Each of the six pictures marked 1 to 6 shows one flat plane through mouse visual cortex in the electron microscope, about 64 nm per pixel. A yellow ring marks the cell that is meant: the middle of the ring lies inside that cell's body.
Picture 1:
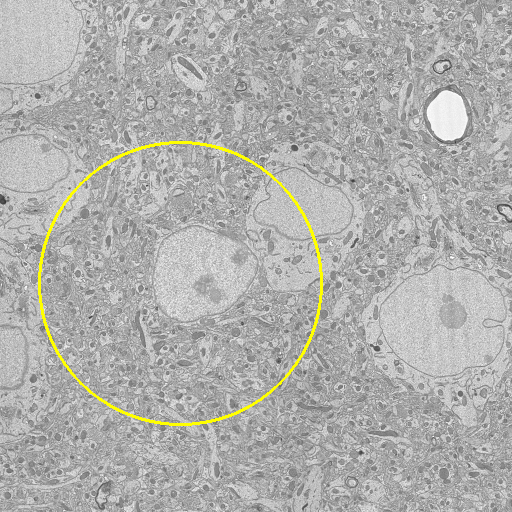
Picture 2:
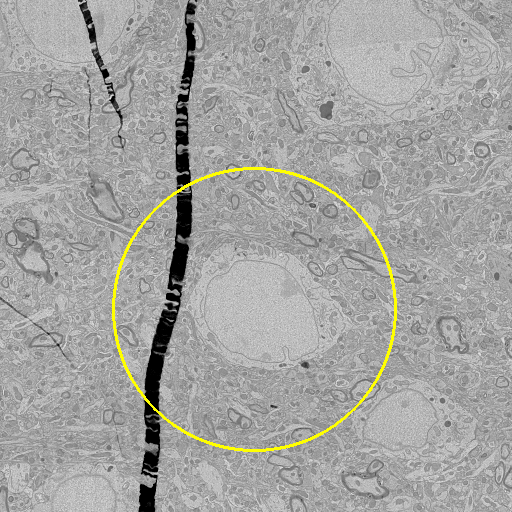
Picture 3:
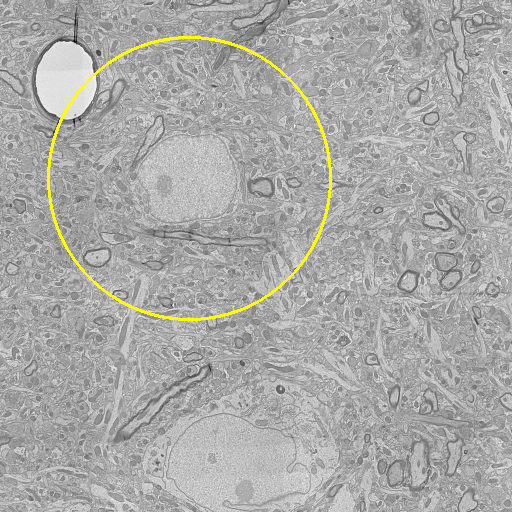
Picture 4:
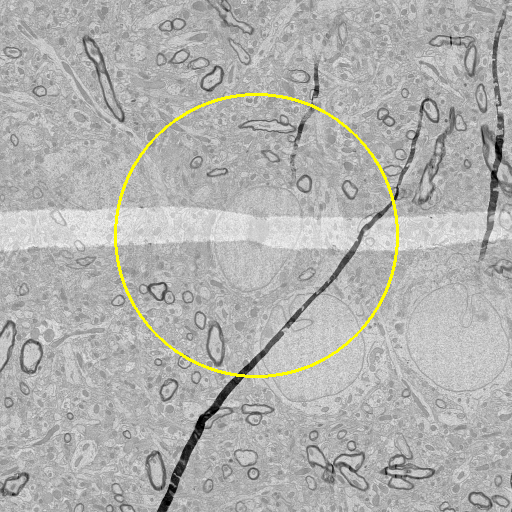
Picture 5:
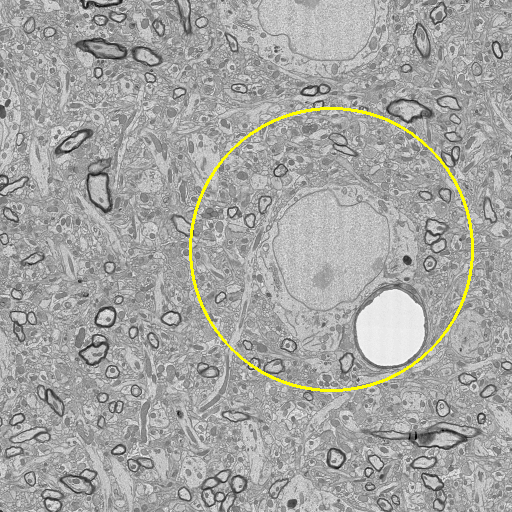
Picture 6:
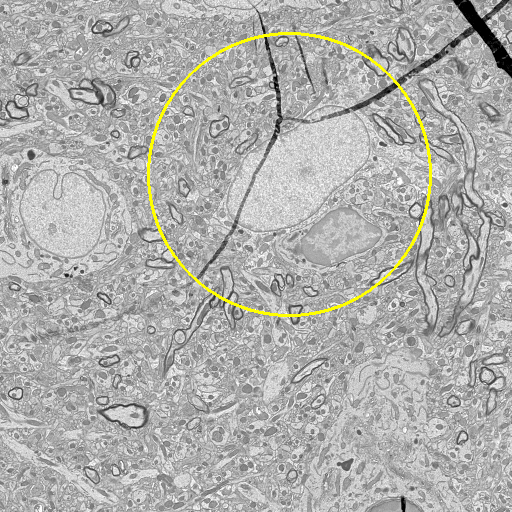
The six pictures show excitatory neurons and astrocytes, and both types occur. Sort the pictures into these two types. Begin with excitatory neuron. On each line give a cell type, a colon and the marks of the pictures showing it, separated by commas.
excitatory neuron: 2, 5
astrocyte: 1, 3, 4, 6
